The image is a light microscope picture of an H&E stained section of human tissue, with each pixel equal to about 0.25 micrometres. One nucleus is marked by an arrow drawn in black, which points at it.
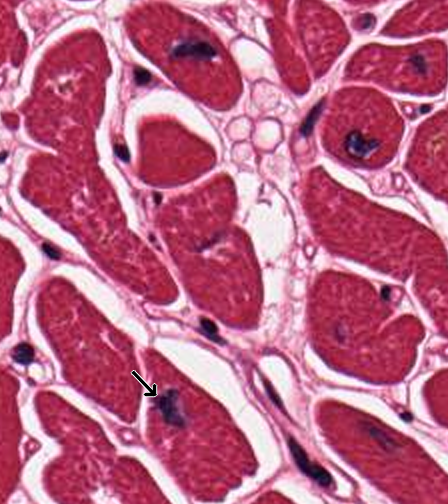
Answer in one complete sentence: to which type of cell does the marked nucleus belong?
In this picture it is a cardiomyocyte whose nucleus is marked.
